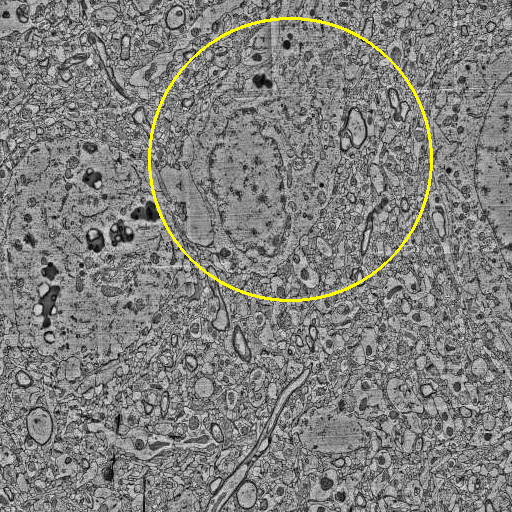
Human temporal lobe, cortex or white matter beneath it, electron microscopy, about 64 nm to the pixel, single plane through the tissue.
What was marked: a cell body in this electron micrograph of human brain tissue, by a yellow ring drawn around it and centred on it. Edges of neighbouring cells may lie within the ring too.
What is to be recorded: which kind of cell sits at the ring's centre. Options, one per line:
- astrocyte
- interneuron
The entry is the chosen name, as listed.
interneuron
